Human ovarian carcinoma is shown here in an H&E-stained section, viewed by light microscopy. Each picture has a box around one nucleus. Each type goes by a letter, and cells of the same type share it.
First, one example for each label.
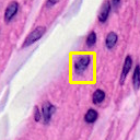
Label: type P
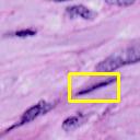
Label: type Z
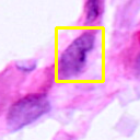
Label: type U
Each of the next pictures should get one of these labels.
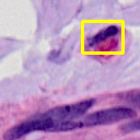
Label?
type U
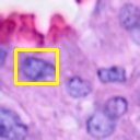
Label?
type U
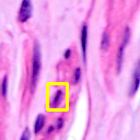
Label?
type P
